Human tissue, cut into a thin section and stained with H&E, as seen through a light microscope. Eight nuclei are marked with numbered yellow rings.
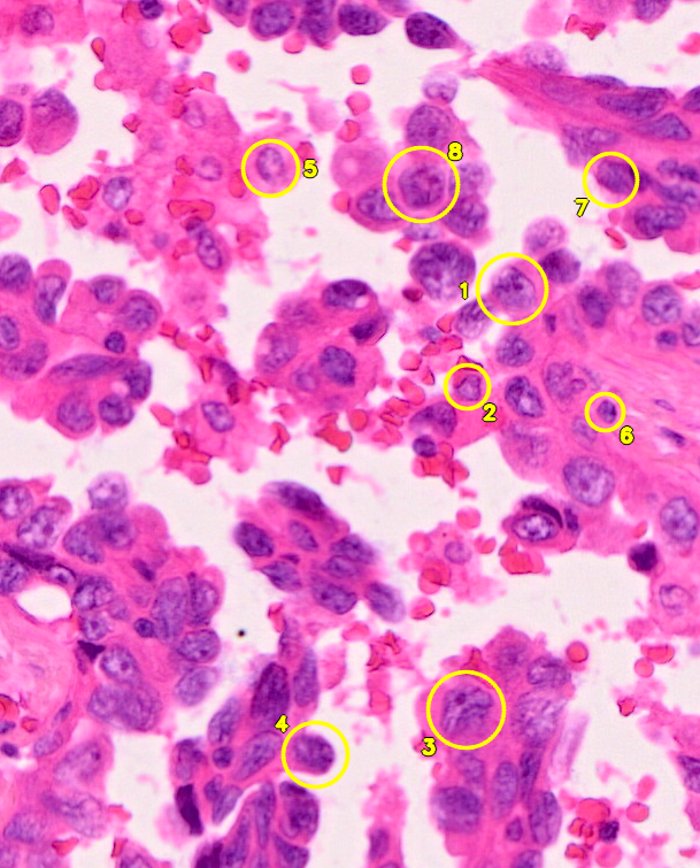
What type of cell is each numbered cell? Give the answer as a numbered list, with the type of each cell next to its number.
1. carcinoma cell
2. macrophage or monocyte
3. carcinoma cell
4. carcinoma cell
5. macrophage or monocyte
6. lymphocyte
7. carcinoma cell
8. carcinoma cell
